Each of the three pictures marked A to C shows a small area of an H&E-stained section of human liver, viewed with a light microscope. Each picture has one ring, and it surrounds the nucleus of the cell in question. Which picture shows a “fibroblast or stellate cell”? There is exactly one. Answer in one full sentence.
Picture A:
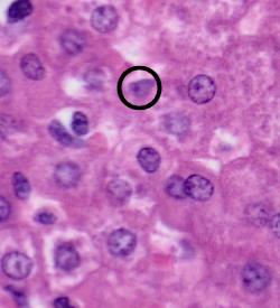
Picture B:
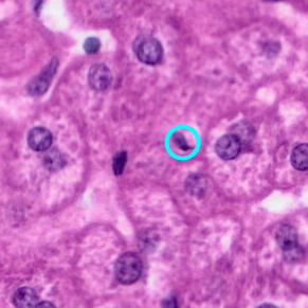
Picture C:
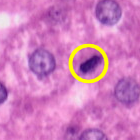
The “fibroblast or stellate cell” is the one in picture C.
